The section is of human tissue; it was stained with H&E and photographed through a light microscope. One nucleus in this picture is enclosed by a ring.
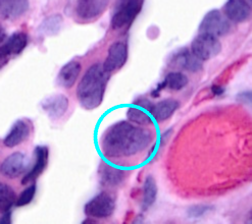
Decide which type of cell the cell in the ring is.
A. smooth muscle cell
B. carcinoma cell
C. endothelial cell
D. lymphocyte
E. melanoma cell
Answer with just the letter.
B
